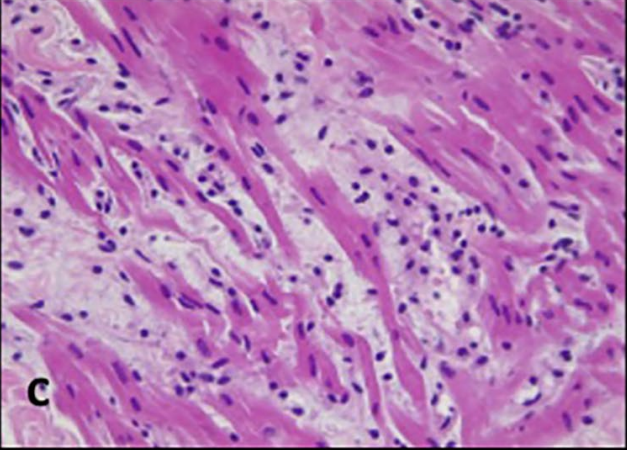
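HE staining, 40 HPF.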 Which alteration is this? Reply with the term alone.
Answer: Myocyte damage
